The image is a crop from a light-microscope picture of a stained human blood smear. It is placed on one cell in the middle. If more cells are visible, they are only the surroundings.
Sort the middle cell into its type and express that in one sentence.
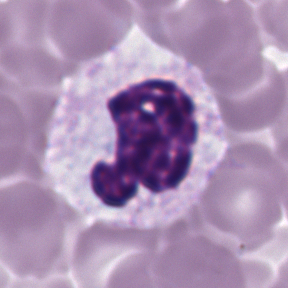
The central cell in this smear crop is a neutrophil.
